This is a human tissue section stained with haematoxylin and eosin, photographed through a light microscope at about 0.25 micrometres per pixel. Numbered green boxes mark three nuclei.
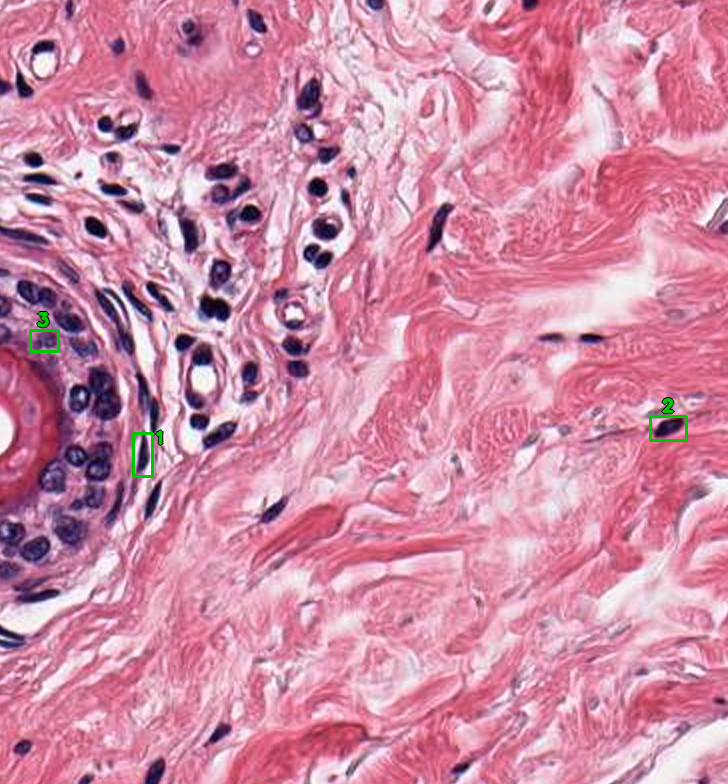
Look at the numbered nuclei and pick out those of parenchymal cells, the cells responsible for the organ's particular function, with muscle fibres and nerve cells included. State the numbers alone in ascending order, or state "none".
3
